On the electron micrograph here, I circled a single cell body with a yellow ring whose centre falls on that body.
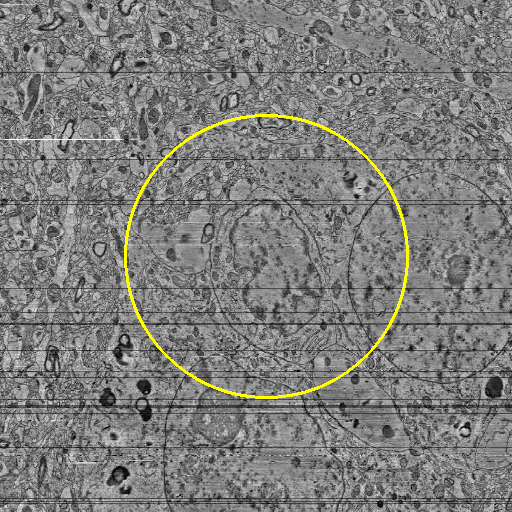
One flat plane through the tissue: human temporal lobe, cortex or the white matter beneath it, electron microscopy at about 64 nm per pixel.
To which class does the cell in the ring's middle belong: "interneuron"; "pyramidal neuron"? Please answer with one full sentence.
In this picture, the cell body circled at the ring's centre belongs to an interneuron.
